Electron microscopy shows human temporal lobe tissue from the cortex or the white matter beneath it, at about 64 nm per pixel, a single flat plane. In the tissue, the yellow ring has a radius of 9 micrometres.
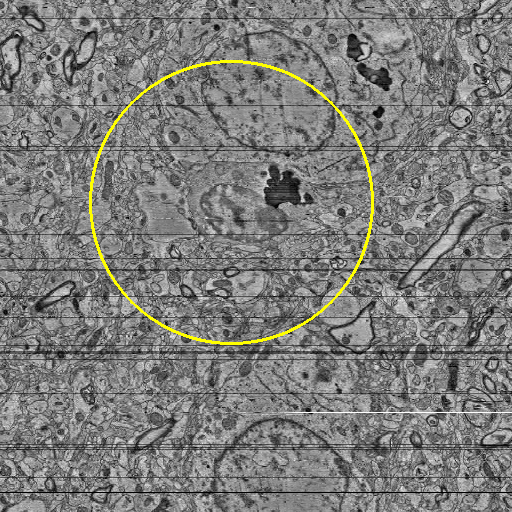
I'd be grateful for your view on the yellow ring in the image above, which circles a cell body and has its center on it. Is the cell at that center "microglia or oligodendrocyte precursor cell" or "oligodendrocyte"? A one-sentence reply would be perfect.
The cell at the center of the yellow ring is an oligodendrocyte.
